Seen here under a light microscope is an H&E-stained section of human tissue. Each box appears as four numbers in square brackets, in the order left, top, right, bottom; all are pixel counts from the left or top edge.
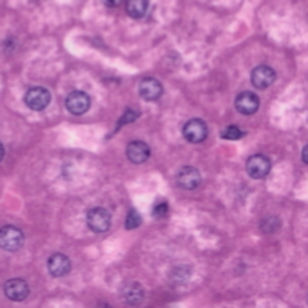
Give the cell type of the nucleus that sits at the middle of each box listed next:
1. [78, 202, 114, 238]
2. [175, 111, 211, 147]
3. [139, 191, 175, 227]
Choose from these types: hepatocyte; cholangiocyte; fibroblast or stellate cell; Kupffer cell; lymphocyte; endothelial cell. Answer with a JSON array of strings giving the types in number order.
["hepatocyte", "hepatocyte", "Kupffer cell"]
